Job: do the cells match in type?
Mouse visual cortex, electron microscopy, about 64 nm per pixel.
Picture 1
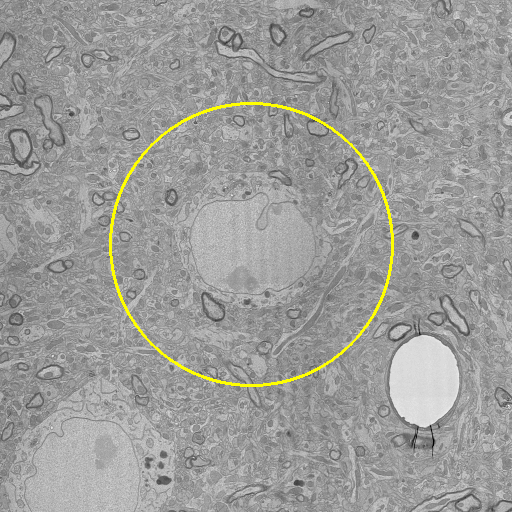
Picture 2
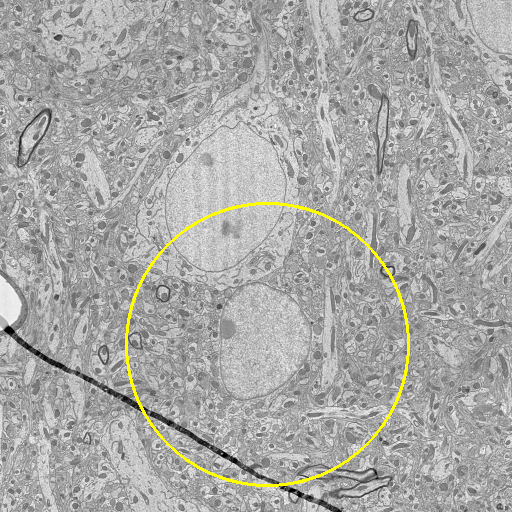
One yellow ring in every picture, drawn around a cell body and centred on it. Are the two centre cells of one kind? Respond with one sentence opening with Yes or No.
No, the ringed cells in the two pictures are of two separate kinds.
